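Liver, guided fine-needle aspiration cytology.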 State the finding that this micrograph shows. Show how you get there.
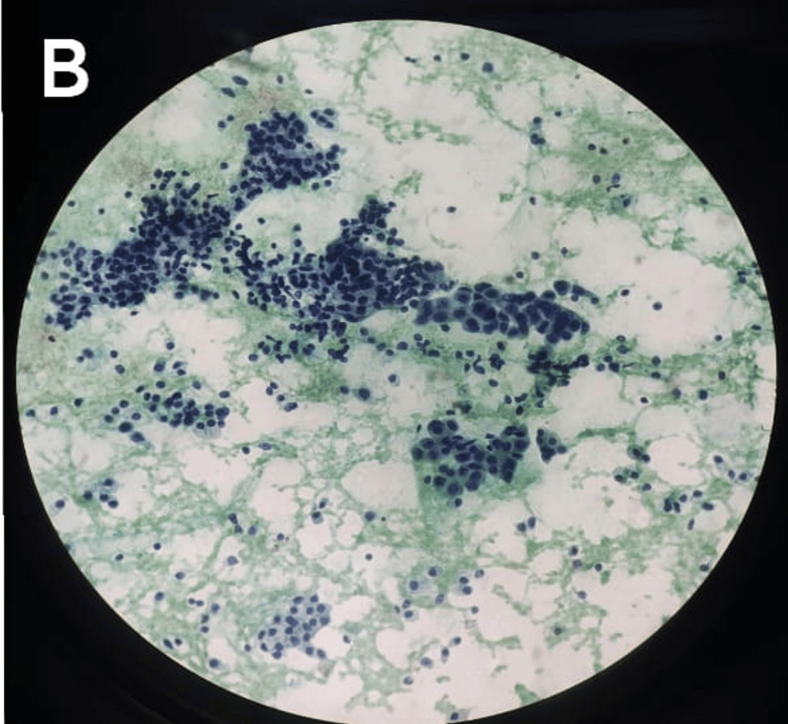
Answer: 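Crowded, overlapping groups of cells with dark nuclei. Cohesive clusters stand out from scattered single cells in a green background.
Cluster of tumor cells.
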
